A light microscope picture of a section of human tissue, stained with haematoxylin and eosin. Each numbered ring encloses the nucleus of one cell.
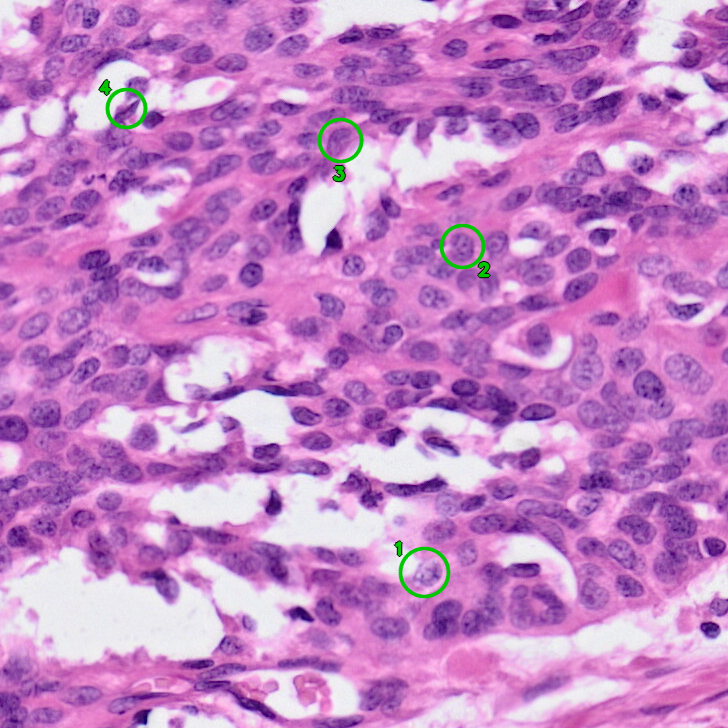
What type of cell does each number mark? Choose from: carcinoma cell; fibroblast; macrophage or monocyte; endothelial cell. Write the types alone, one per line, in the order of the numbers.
macrophage or monocyte
carcinoma cell
carcinoma cell
carcinoma cell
